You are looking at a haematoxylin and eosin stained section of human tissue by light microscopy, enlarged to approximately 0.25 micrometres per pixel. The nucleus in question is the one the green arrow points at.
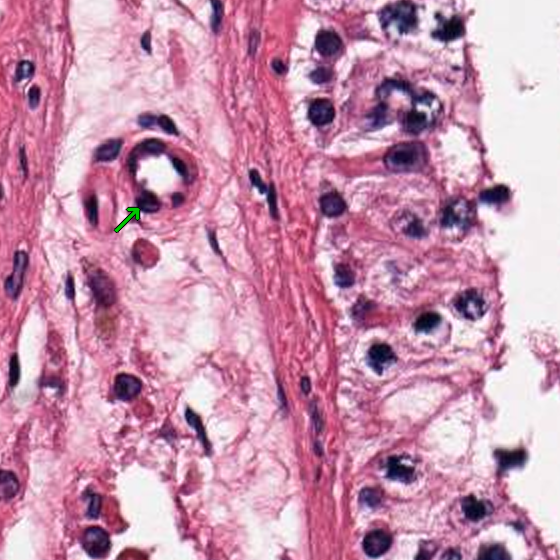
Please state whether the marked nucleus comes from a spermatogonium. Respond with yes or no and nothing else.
no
